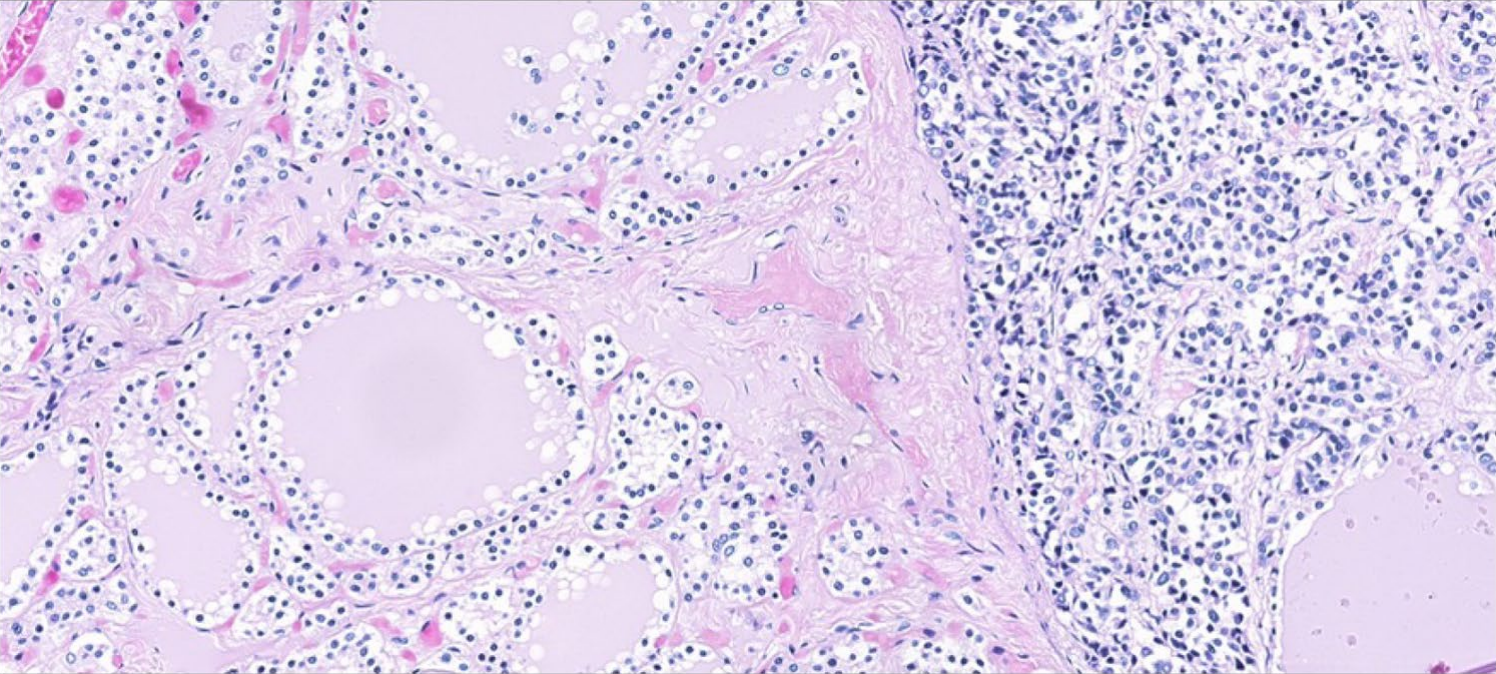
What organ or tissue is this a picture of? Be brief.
Thyroid parenchyma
